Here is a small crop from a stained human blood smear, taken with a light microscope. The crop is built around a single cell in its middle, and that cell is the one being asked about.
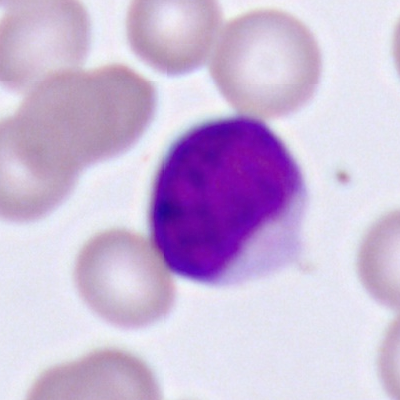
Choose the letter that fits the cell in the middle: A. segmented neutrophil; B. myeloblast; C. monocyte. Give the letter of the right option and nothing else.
B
